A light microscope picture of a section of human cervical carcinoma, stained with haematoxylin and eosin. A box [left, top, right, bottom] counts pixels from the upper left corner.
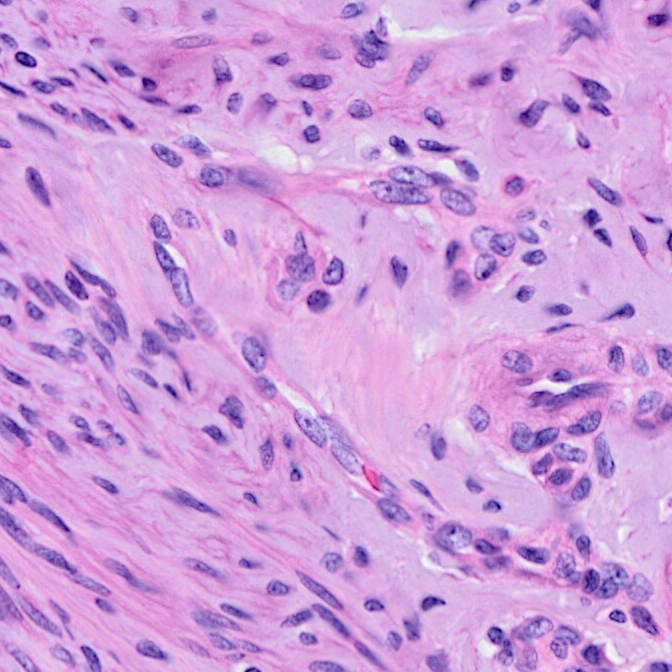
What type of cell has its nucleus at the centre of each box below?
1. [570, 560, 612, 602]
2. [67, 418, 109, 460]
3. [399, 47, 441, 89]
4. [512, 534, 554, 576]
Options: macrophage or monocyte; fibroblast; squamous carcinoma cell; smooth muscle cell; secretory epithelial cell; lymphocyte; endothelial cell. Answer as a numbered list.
1. endothelial cell
2. smooth muscle cell
3. smooth muscle cell
4. endothelial cell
